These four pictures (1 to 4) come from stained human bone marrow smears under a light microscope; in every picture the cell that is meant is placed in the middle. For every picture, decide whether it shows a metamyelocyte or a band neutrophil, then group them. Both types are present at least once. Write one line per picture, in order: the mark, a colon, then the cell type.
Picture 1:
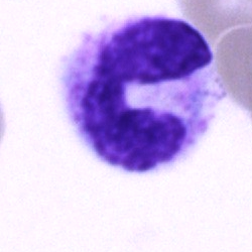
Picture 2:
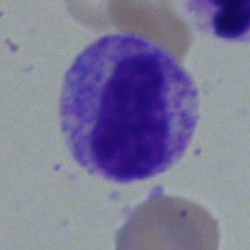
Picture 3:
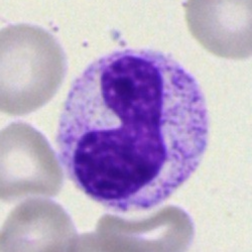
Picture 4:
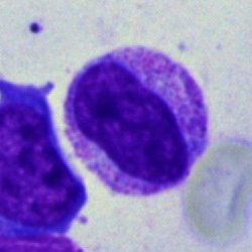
1: band neutrophil
2: metamyelocyte
3: band neutrophil
4: metamyelocyte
